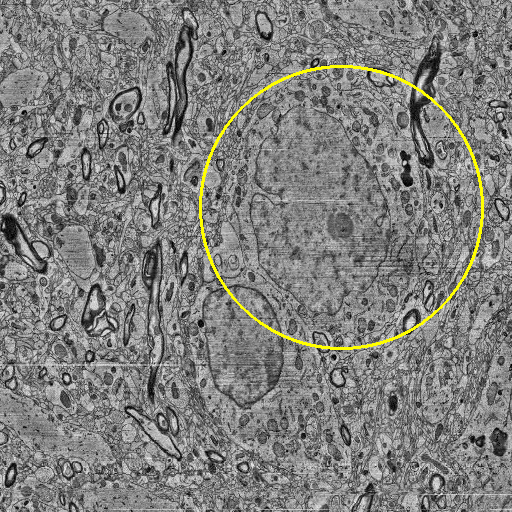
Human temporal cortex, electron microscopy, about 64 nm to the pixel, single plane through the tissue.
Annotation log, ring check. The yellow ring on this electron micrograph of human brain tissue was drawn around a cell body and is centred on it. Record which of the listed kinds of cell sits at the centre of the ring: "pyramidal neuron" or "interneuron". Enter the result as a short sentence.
The cell at the centre of the ring is an interneuron.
